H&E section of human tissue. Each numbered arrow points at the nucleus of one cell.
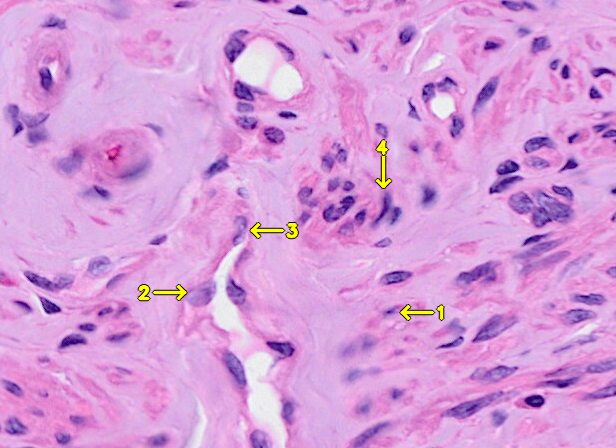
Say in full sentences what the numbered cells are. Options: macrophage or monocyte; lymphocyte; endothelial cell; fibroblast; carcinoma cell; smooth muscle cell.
Cells 1 and 4 are smooth muscle cells. Cells 2 and 3 are endothelial cells.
